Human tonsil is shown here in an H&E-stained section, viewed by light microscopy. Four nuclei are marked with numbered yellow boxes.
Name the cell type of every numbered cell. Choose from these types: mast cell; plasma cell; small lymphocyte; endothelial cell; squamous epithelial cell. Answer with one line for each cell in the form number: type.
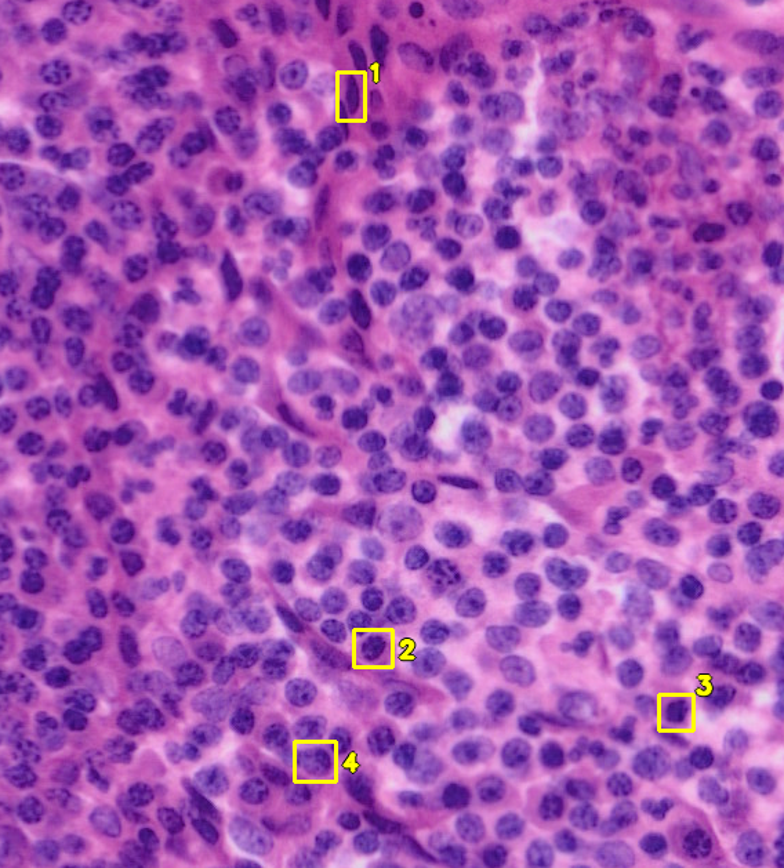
1: squamous epithelial cell
2: plasma cell
3: plasma cell
4: plasma cell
